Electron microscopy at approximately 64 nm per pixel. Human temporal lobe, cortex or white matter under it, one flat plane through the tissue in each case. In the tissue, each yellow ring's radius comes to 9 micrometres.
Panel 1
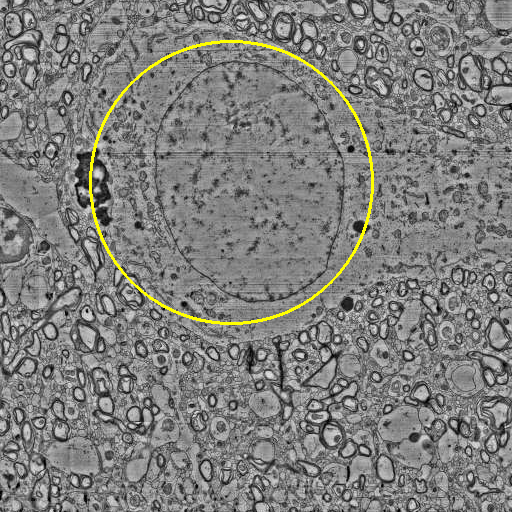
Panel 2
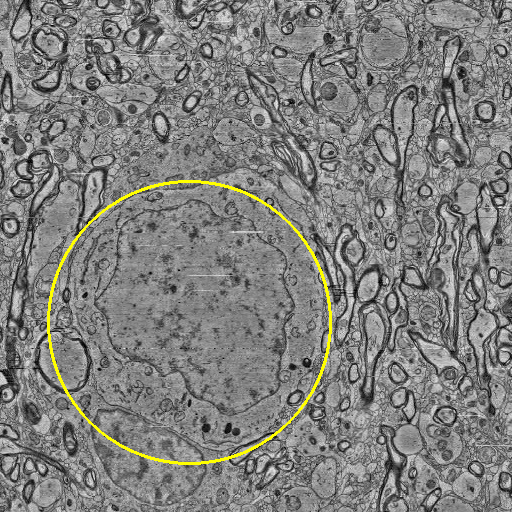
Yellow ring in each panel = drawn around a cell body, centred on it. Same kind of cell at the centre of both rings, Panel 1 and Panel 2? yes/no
yes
